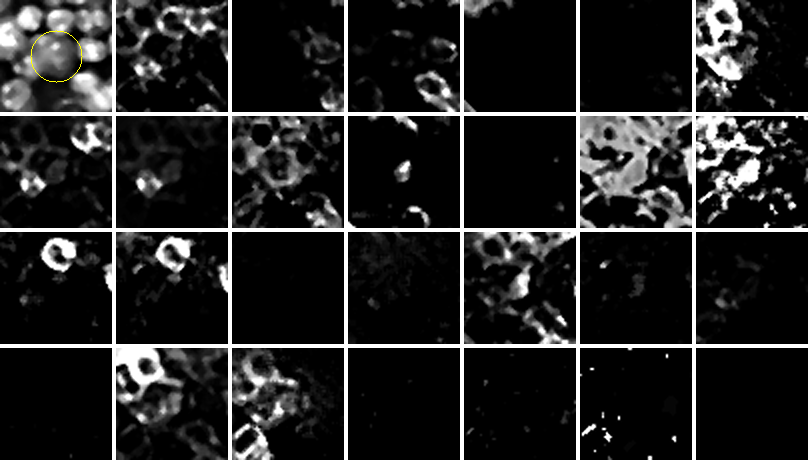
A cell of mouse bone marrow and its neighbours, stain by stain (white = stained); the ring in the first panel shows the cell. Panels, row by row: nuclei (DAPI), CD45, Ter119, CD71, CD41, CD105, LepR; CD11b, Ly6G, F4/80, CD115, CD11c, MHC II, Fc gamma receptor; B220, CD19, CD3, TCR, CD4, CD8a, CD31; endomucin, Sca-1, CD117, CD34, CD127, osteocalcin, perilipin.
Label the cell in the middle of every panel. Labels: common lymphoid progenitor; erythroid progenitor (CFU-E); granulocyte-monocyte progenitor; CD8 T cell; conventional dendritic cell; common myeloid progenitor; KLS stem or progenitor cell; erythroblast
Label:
granulocyte-monocyte progenitor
